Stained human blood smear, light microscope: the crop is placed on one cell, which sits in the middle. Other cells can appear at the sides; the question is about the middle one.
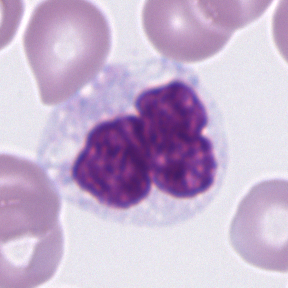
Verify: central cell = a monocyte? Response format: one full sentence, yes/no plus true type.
No, at the centre of this crop is found a neutrophil instead of a monocyte.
